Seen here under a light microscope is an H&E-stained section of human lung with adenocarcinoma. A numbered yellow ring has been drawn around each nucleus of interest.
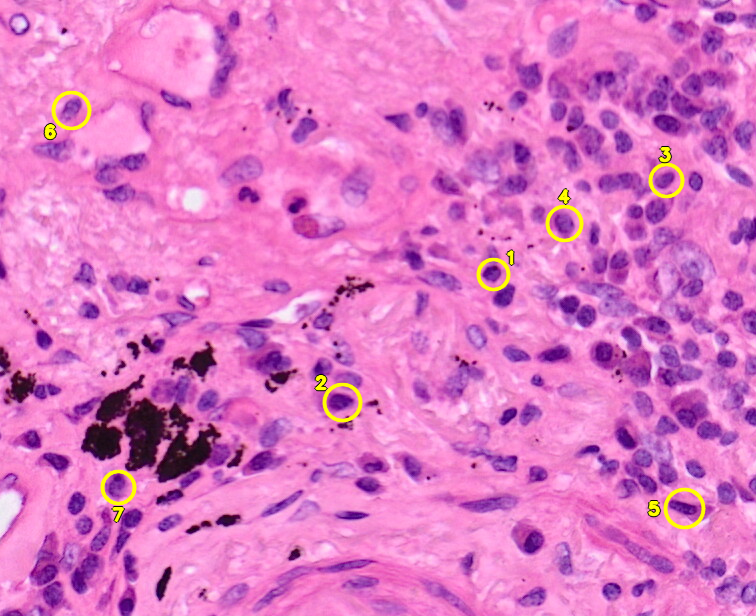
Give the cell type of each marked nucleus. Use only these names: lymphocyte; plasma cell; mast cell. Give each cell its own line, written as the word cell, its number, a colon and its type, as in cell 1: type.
cell 1: lymphocyte
cell 2: plasma cell
cell 3: lymphocyte
cell 4: plasma cell
cell 5: plasma cell
cell 6: mast cell
cell 7: plasma cell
